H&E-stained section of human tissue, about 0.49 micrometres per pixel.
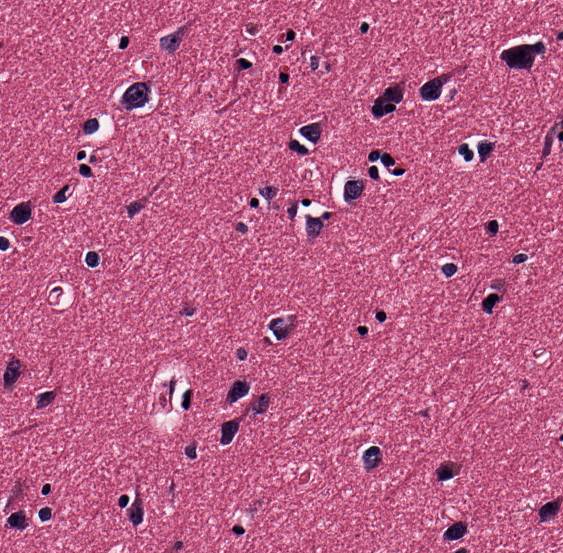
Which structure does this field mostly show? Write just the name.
cerebral cortex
